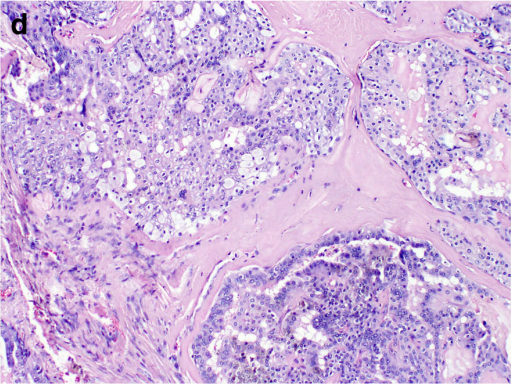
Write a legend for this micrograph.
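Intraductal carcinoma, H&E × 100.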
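Several rounded nests of epithelioid tumour cells are separated by bands of dense pink fibrous stroma. The cells have pink to pale cytoplasm and round to oval nuclei, and many small clear vacuole-like spaces are scattered within the nests. The nests are well delimited from the surrounding stroma.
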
